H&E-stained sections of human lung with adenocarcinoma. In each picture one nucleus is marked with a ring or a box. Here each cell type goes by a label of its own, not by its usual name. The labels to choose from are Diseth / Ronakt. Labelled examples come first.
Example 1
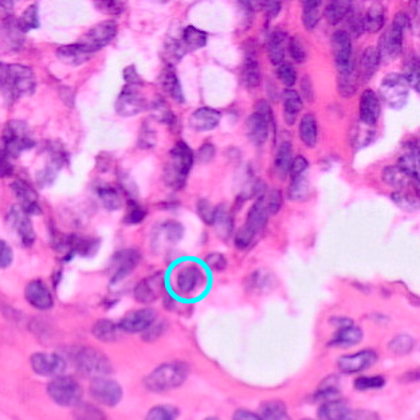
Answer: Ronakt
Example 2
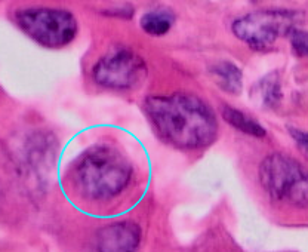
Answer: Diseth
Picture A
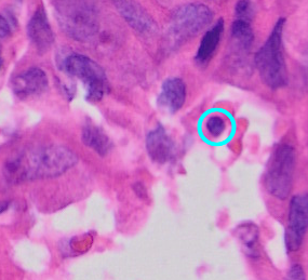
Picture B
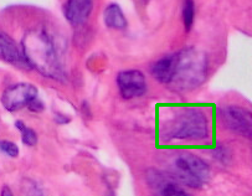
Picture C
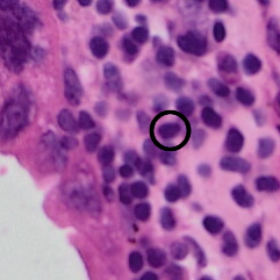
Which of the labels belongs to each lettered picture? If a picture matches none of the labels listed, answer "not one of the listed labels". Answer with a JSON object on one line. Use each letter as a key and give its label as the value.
{"A": "not one of the listed labels", "B": "Diseth", "C": "not one of the listed labels"}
